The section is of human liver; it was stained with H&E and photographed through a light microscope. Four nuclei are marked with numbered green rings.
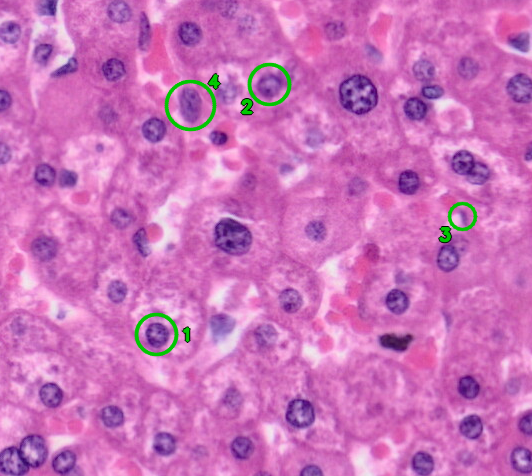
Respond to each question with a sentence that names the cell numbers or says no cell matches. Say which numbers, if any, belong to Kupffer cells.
The numbered cell that is a Kupffer cell is cell 4, and it is the only one.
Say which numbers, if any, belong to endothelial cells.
Of all the cells bearing numbers, cell 3 is the only one that is an endothelial cell.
